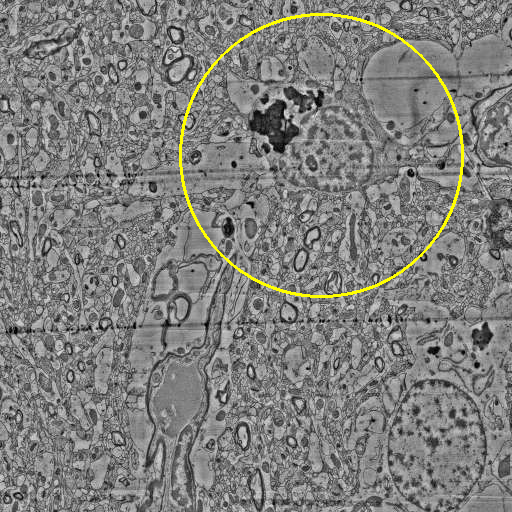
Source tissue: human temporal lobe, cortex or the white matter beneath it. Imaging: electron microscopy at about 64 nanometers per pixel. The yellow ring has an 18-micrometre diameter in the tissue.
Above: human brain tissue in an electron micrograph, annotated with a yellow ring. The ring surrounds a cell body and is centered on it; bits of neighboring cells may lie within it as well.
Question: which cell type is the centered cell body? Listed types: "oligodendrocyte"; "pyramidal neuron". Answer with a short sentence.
The centered cell body is an oligodendrocyte.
